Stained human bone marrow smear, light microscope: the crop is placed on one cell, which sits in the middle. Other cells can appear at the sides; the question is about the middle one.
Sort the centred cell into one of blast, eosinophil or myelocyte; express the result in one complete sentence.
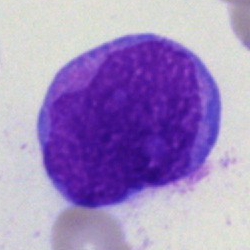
The cell marked by its central position in the crop is a blast.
